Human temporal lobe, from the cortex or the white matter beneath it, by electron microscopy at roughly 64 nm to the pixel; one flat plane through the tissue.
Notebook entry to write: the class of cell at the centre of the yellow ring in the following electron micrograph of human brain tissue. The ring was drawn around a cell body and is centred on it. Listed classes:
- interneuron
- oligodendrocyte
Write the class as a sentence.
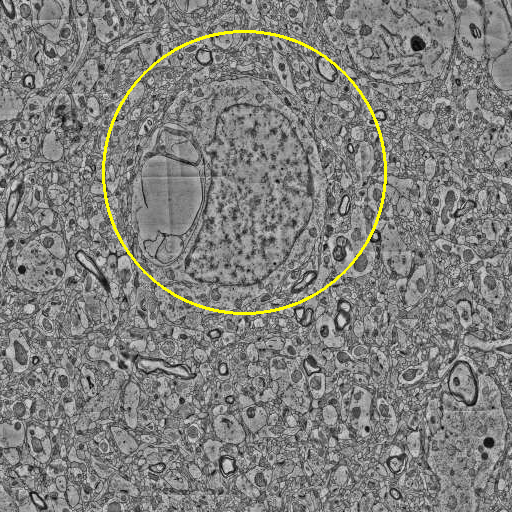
The yellow ring sits on an interneuron.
